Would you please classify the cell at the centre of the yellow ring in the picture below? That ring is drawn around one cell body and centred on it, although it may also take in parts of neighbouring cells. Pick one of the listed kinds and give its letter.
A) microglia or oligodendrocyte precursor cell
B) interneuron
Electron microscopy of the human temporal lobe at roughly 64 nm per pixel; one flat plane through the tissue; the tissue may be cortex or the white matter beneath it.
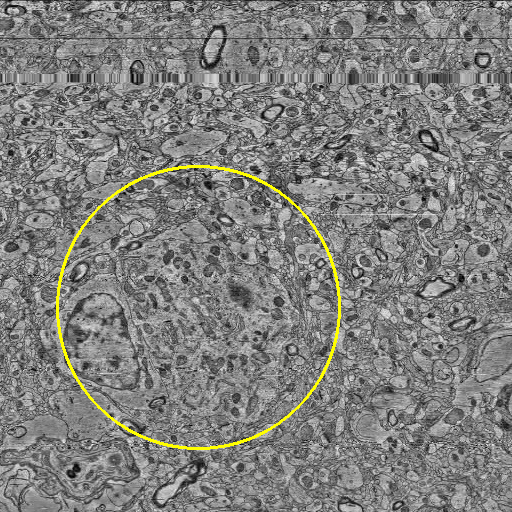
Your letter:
B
